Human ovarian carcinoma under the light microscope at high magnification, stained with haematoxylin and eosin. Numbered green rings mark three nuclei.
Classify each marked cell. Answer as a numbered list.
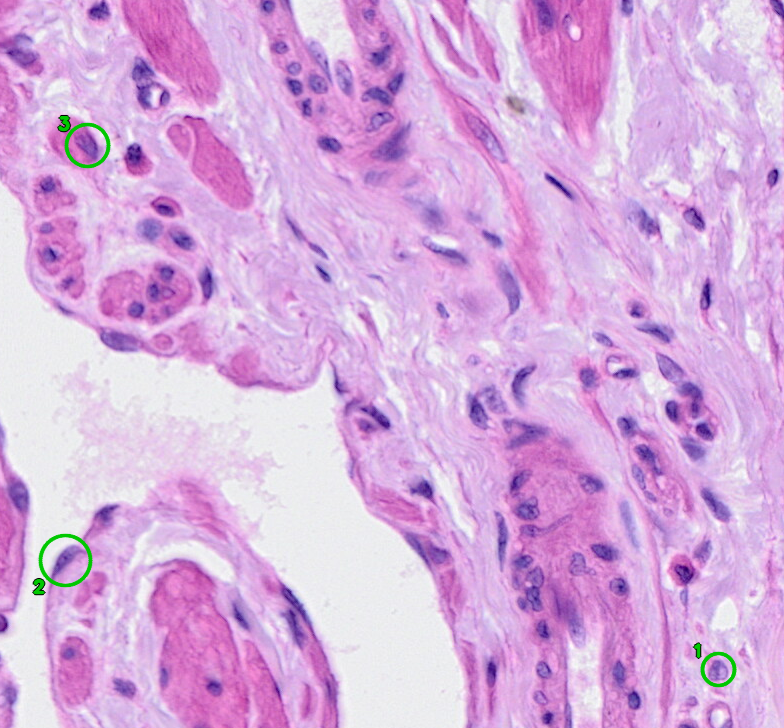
1. macrophage or monocyte
2. endothelial cell
3. smooth muscle cell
